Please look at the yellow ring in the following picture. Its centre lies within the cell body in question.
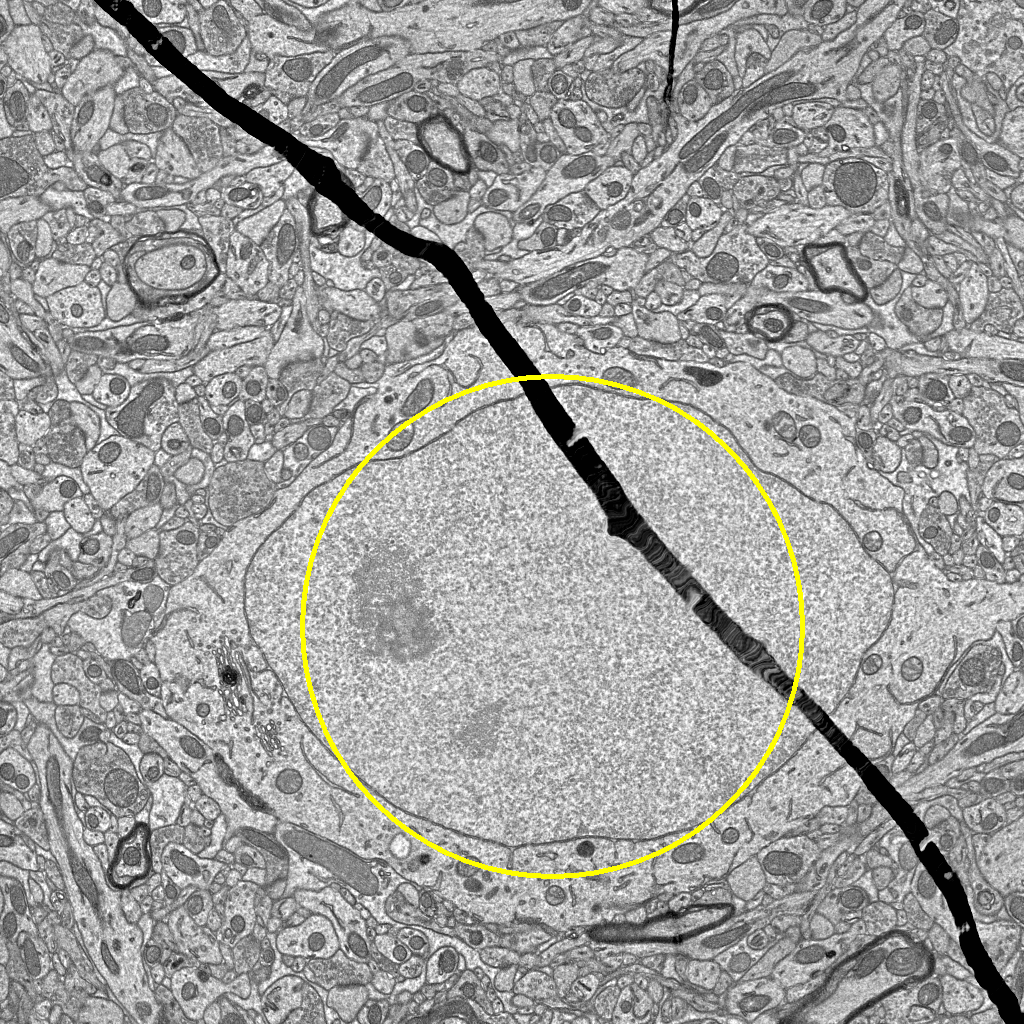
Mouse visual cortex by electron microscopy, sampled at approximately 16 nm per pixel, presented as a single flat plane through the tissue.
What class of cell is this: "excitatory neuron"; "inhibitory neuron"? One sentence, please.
The centre of the ring lies in the cell body of an excitatory neuron.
